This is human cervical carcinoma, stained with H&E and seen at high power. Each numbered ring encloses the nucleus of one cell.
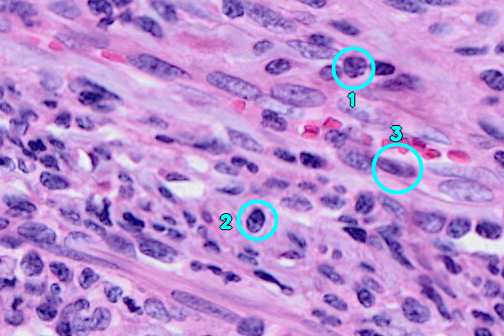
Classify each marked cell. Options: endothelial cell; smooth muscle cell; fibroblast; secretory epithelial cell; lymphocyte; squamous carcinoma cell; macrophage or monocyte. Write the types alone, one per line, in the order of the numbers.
lymphocyte
lymphocyte
endothelial cell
